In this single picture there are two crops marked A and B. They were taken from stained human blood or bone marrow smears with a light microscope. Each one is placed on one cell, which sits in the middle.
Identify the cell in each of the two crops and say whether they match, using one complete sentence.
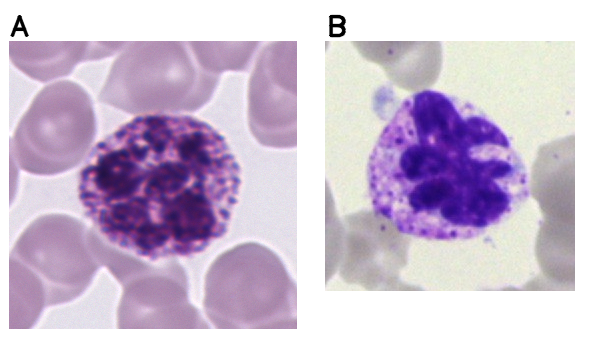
Yes, both crops have basophils at the centre.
